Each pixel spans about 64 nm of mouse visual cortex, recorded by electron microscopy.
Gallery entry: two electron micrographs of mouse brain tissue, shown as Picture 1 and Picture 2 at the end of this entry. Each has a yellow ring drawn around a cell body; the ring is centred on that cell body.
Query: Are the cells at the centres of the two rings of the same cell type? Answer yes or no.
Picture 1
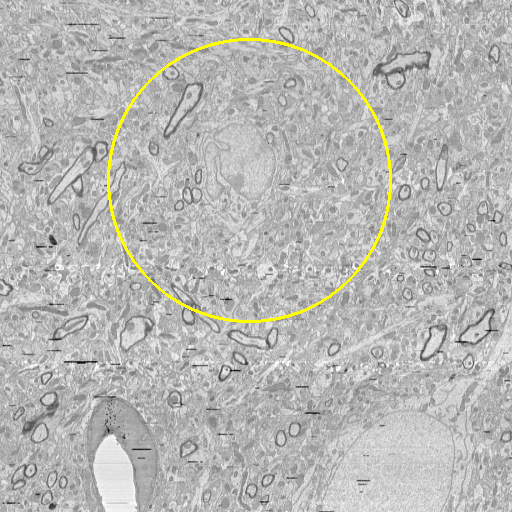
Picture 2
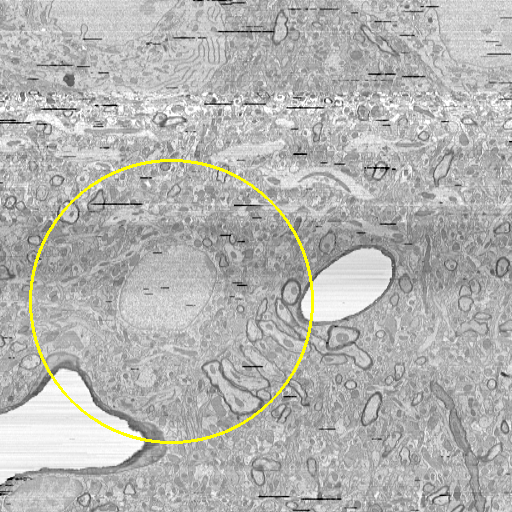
no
